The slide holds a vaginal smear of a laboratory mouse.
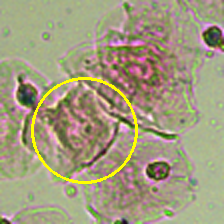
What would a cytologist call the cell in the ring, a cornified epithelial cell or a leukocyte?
A cytologist would call it a cornified epithelial cell.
